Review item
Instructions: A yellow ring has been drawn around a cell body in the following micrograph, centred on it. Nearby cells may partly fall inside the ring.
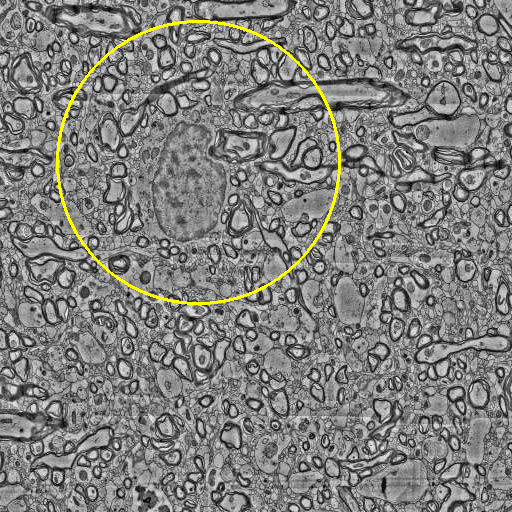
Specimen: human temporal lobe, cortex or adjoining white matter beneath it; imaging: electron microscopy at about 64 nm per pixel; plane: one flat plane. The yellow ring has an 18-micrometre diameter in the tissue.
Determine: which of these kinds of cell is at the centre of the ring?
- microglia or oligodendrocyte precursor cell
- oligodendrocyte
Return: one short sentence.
The cell body in the middle of the ring is that of an oligodendrocyte.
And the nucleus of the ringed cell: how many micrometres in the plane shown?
Roughly 7 micrometres by 5 micrometres, so the nucleus is clearly longer than it is wide in this plane.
